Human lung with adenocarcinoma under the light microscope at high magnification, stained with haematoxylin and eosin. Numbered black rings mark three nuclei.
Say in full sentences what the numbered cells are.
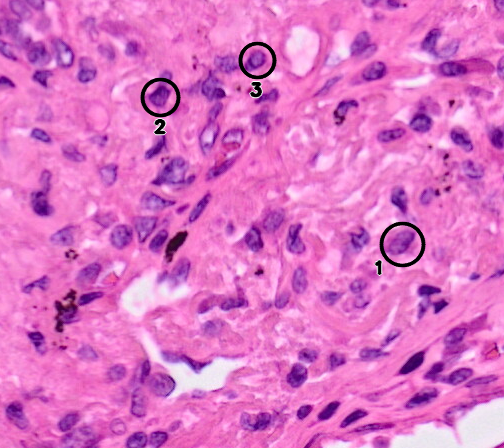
Cells 1 and 2 are plasma cells. Cell 3 is a mast cell.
